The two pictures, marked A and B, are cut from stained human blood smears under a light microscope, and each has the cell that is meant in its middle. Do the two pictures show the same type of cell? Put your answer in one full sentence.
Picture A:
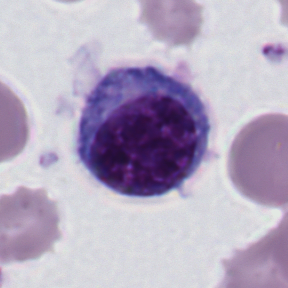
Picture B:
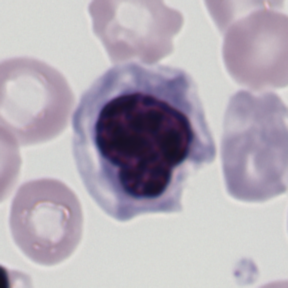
No, picture A shows a plasma cell and picture B shows a normoblast.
